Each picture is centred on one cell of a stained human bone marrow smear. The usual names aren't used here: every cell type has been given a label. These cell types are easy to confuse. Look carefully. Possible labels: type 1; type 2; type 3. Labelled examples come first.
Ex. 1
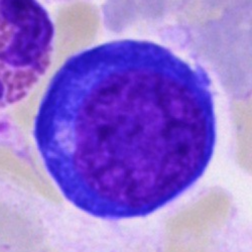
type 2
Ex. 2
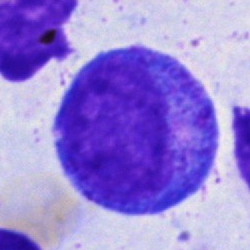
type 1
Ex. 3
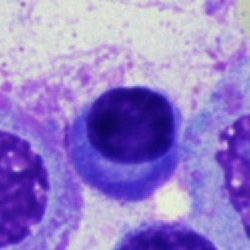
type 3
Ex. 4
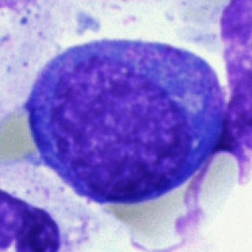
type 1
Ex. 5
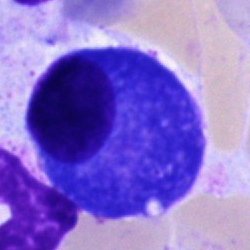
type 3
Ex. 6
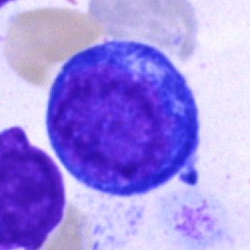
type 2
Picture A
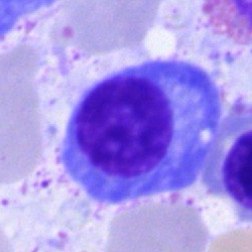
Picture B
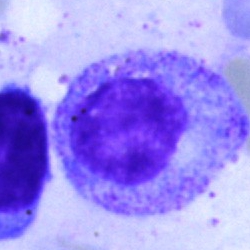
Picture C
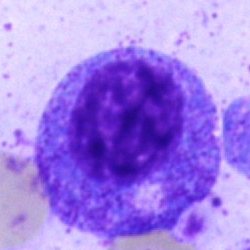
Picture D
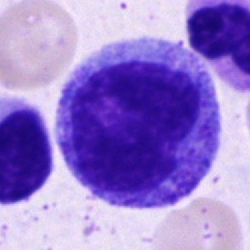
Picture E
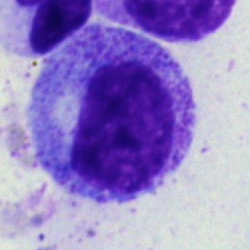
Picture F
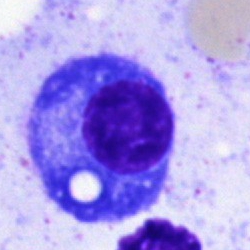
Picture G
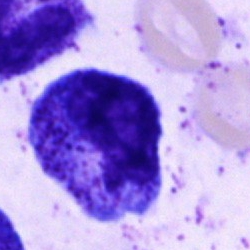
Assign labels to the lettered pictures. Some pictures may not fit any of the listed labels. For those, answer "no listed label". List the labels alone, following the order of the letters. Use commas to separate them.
type 3, no listed label, type 1, type 1, type 1, type 3, type 1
